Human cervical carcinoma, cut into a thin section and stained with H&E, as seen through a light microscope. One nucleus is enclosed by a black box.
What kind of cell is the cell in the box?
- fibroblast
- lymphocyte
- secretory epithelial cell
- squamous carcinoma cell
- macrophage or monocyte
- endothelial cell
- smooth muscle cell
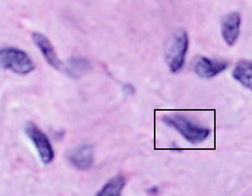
fibroblast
